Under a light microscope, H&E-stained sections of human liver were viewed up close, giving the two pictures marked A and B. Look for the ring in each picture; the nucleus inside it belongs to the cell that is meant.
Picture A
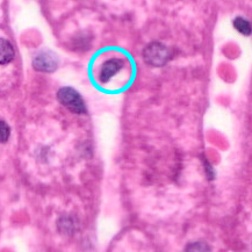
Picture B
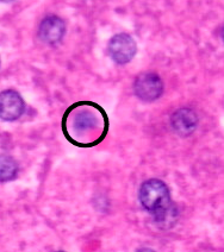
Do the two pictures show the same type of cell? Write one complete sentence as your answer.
No, the types are not the same, since picture A shows a lymphocyte and picture B an endothelial cell.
